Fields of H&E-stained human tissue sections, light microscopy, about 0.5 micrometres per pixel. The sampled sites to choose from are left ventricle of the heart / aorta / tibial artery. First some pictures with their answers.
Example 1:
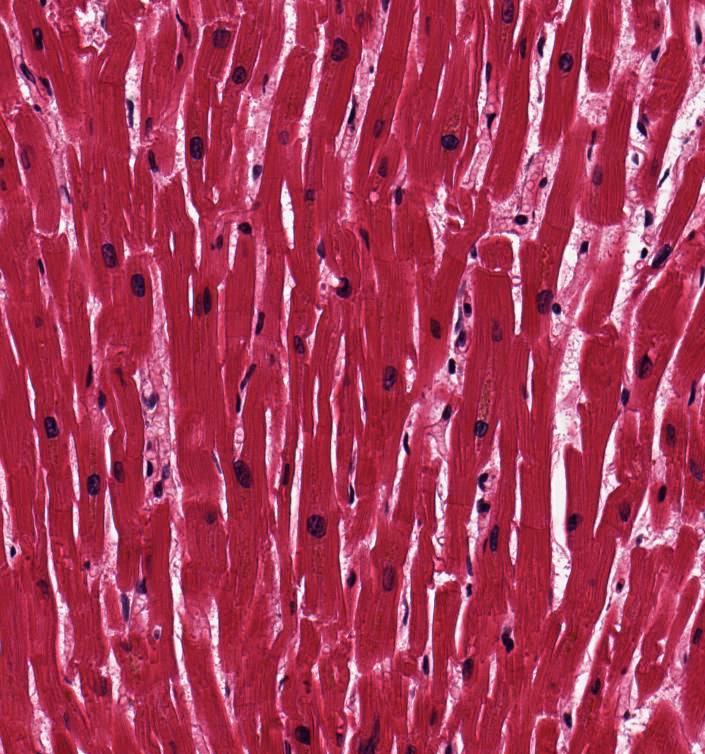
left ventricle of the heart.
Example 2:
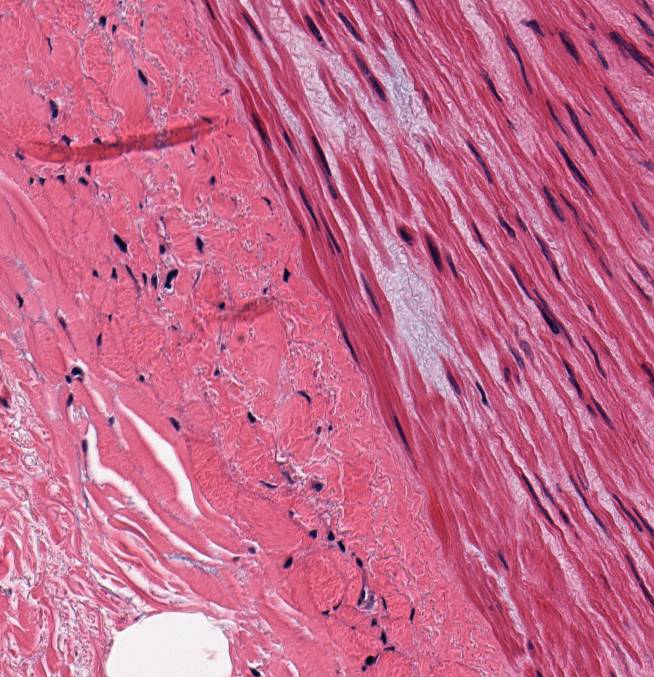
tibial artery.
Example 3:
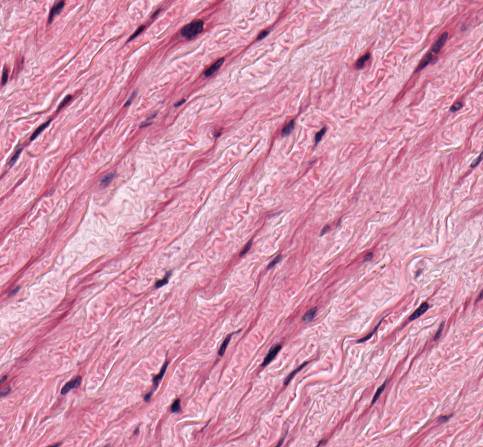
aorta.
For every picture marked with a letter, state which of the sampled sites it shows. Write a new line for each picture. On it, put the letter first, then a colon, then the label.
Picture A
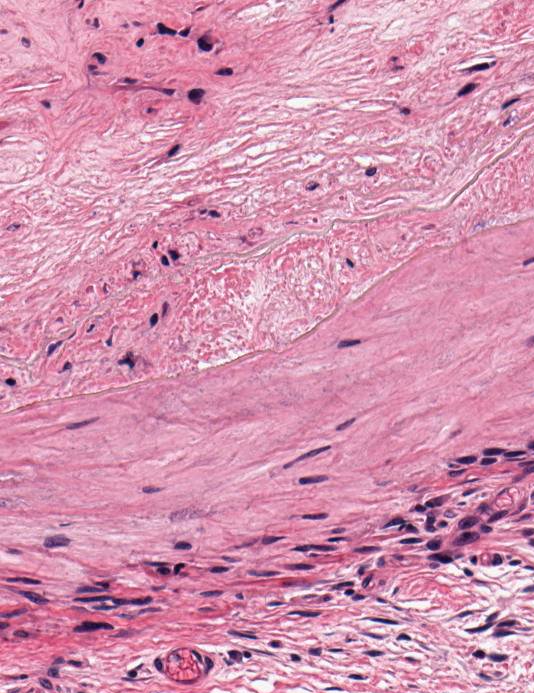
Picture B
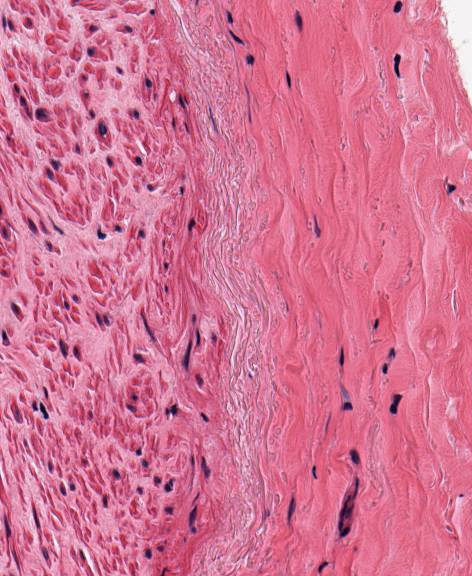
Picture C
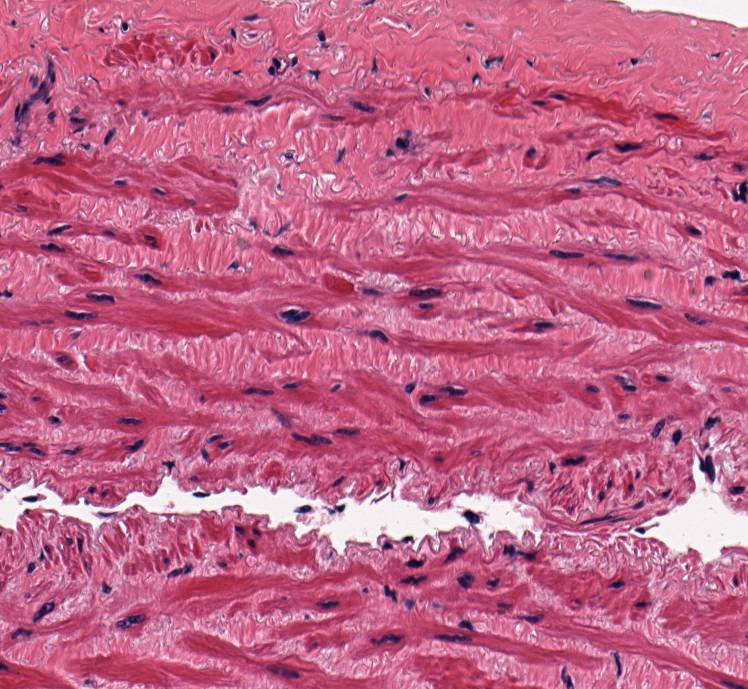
A: tibial artery.
B: tibial artery.
C: tibial artery.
